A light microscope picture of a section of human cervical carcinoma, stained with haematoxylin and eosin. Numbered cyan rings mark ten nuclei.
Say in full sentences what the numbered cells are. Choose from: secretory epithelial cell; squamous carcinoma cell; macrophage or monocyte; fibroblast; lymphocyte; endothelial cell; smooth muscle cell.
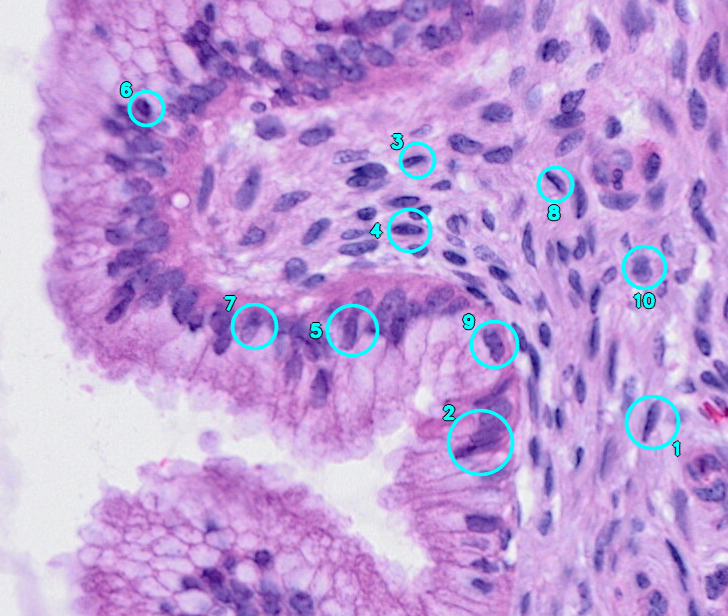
Cells 1, 3, 4, 8 and 10 are fibroblasts. Cells 2, 5, 6, 7 and 9 are secretory epithelial cells.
